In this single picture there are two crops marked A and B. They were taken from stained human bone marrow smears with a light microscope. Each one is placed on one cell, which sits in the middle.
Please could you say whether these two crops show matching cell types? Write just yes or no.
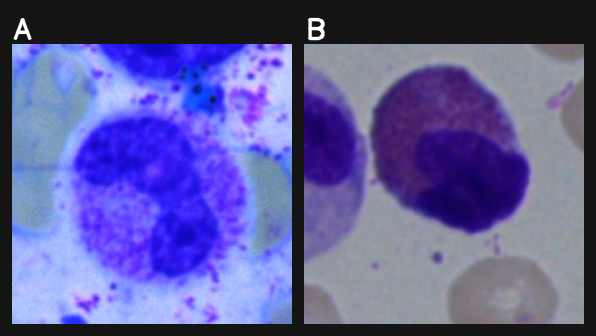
no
